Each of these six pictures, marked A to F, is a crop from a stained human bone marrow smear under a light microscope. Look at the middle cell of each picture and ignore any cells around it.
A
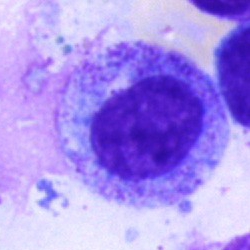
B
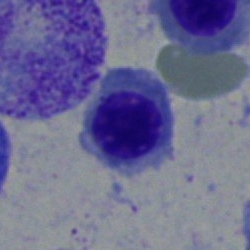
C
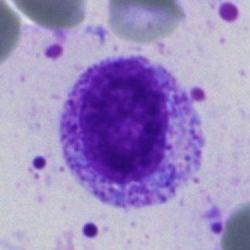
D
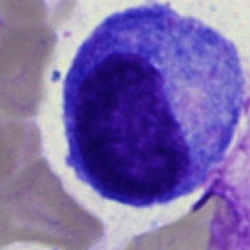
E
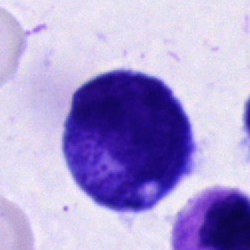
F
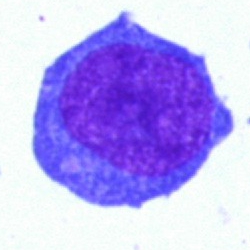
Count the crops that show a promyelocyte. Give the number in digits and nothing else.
3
